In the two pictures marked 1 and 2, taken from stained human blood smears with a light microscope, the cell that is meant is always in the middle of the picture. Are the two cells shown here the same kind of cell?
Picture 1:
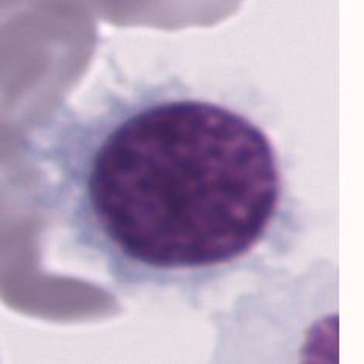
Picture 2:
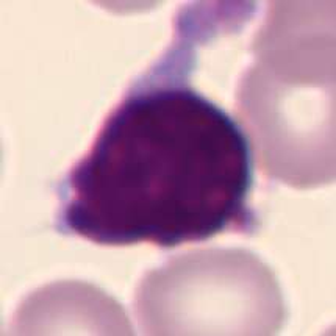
no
